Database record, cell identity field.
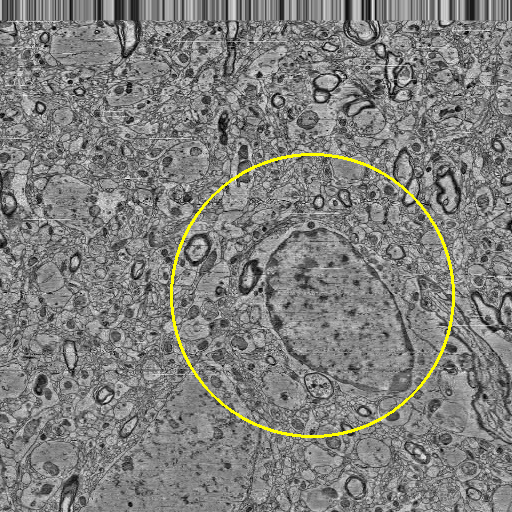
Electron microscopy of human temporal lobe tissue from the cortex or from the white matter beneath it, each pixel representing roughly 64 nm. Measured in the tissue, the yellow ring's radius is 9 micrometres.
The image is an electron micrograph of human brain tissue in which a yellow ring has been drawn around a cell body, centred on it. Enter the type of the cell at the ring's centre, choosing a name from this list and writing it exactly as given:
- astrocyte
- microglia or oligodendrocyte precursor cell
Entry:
microglia or oligodendrocyte precursor cell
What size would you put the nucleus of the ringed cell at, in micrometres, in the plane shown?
About 12 by 7 micrometres, the nucleus being clearly longer than it is wide in this plane.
